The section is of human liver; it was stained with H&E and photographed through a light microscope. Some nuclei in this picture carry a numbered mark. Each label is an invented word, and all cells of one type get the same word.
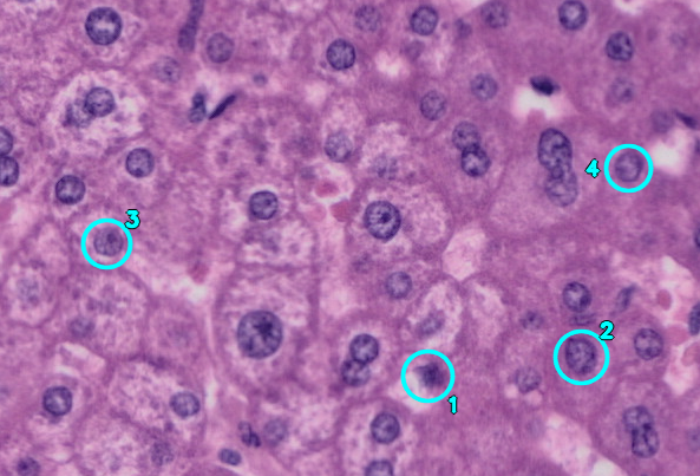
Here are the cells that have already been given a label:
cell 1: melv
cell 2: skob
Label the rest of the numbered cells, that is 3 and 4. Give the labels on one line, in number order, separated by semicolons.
skob; skob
